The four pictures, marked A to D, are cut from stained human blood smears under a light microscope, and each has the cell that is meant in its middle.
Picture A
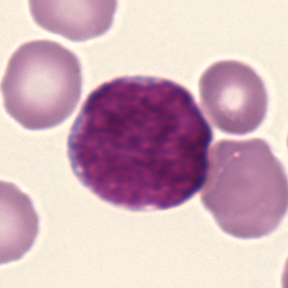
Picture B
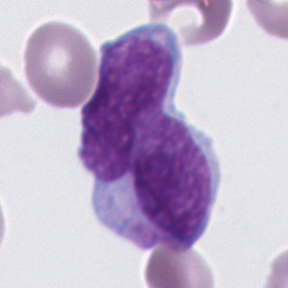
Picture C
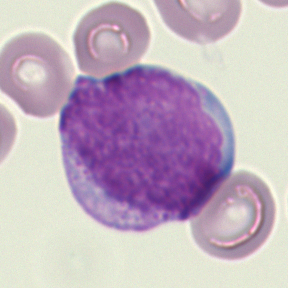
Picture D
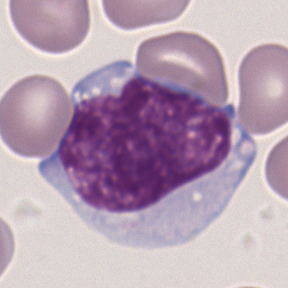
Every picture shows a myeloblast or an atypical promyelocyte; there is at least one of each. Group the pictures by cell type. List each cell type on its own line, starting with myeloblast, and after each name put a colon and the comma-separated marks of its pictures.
myeloblast: A, D
atypical promyelocyte: B, C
